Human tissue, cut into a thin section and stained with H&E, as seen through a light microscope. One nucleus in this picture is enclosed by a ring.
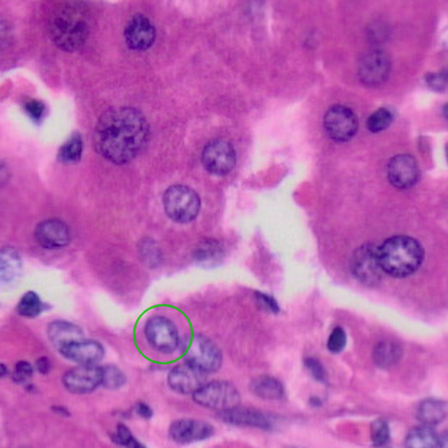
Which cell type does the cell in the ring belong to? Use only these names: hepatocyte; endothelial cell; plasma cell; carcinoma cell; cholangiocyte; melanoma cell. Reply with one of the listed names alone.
cholangiocyte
